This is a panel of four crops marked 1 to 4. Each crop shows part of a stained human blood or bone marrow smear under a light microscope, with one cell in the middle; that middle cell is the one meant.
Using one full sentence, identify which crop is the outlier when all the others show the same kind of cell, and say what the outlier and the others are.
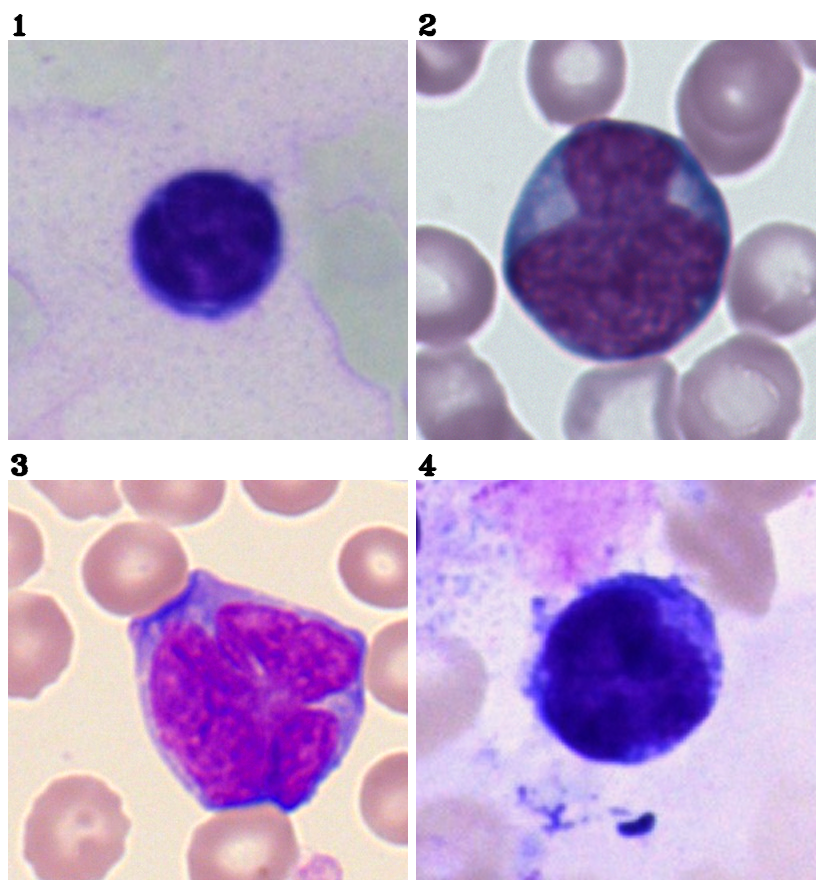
Crop 1 is the odd one out, being a lymphocyte, while all the other crops show blasts.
